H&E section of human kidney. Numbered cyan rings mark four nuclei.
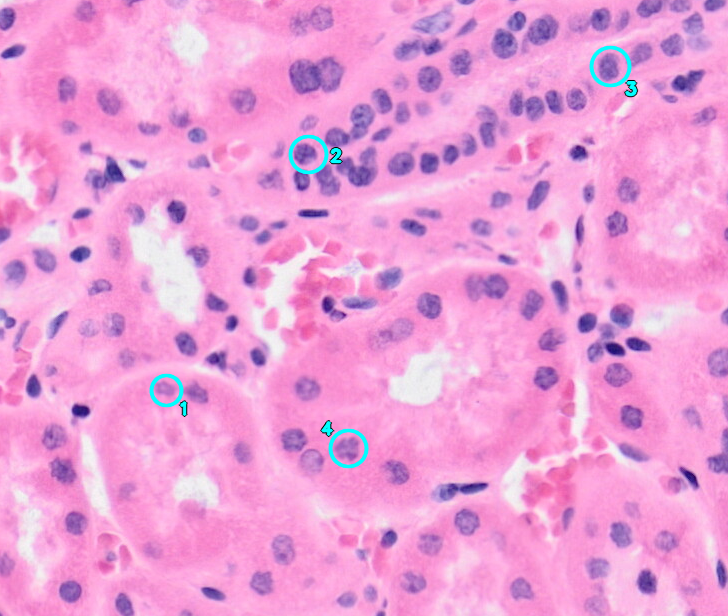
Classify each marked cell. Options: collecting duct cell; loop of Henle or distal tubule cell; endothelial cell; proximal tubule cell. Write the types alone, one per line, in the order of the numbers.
proximal tubule cell
collecting duct cell
collecting duct cell
proximal tubule cell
